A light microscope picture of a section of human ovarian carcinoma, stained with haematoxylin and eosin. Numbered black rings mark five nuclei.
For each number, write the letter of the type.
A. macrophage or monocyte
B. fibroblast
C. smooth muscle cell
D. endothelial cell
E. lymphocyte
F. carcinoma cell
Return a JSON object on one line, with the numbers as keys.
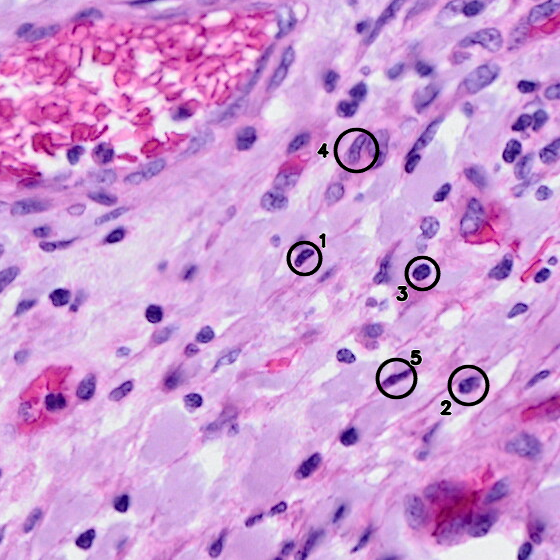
{"1": "E", "2": "E", "3": "E", "4": "D", "5": "B"}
